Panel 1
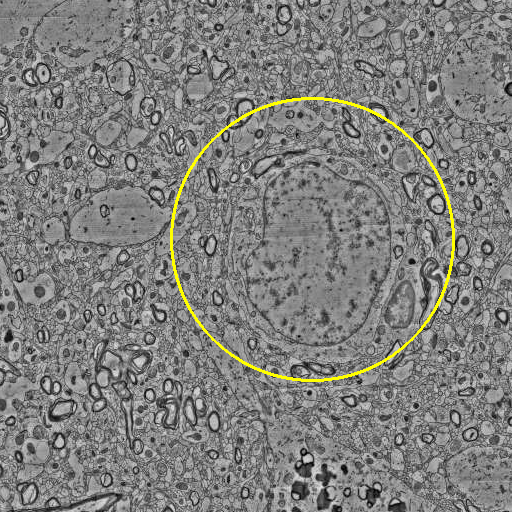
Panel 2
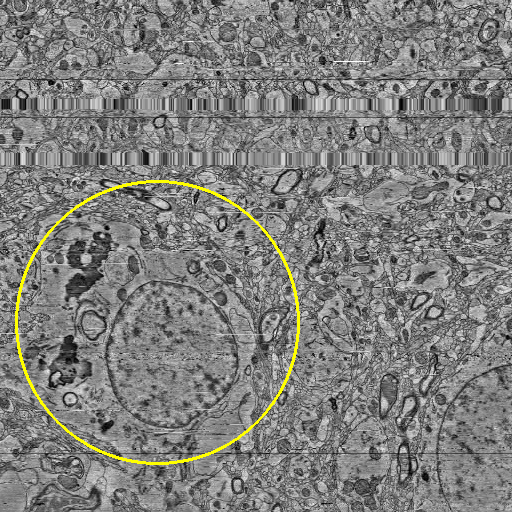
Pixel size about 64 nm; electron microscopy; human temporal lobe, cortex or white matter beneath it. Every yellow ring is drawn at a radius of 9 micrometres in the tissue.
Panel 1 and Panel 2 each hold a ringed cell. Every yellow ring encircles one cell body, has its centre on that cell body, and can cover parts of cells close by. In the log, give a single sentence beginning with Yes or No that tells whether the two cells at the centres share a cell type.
No, in Panel 1 and Panel 2 the centred cells are of two cell types.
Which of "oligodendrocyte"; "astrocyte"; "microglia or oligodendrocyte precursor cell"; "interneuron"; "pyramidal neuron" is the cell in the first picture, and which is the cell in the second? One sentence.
The two differ: the first cell is an interneuron and the second is an astrocyte.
